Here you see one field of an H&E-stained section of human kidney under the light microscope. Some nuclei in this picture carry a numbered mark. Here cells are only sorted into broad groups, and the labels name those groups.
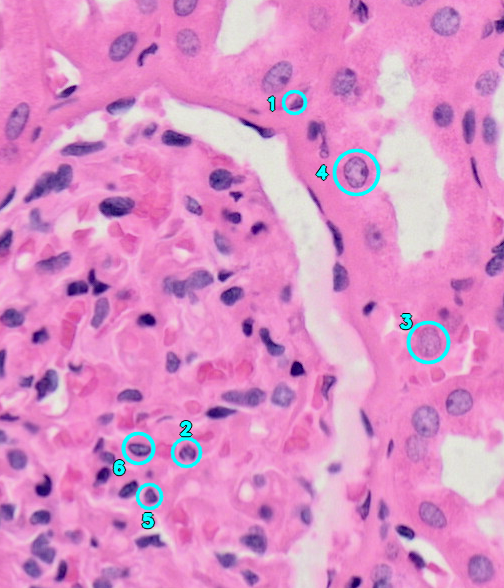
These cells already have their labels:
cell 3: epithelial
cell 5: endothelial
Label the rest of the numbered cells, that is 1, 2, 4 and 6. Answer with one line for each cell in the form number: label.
1: endothelial
2: endothelial
4: epithelial
6: endothelial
